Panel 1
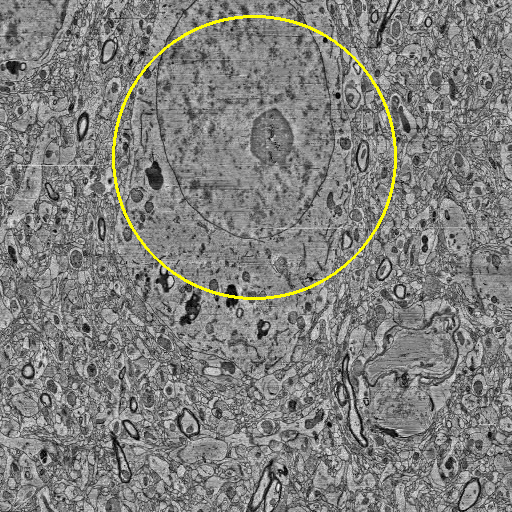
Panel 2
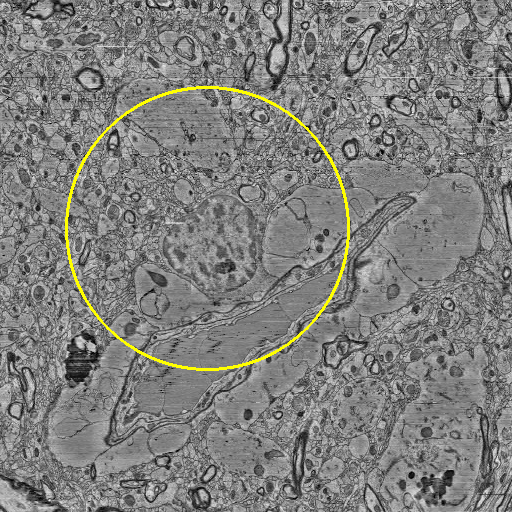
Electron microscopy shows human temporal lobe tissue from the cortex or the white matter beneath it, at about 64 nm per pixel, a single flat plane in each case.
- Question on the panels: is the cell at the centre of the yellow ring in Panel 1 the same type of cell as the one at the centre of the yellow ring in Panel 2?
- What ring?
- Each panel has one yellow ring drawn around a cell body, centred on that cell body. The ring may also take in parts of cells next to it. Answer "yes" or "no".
no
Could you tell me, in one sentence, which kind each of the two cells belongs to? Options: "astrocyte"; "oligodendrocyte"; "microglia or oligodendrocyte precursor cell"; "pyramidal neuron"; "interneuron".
At the centre of the first ring sits a pyramidal neuron, and at the centre of the second sits an oligodendrocyte.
